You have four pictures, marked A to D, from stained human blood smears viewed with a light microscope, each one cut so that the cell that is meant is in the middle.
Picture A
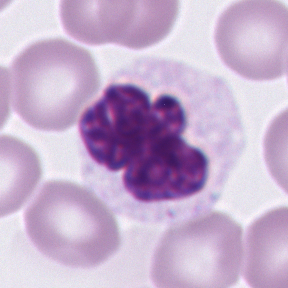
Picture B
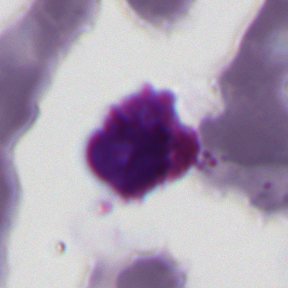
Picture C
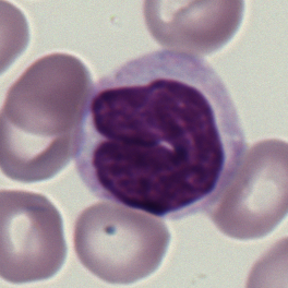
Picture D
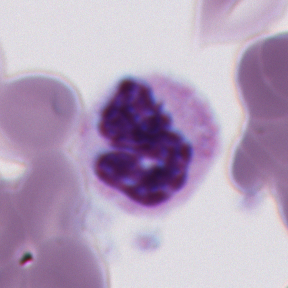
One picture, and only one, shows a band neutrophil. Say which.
C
